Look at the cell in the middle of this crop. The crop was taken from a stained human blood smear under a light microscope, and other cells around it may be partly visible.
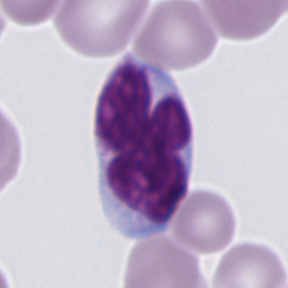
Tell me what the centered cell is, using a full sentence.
Seen at the centre of the crop is a large granular lymphocyte.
